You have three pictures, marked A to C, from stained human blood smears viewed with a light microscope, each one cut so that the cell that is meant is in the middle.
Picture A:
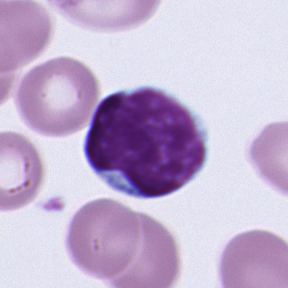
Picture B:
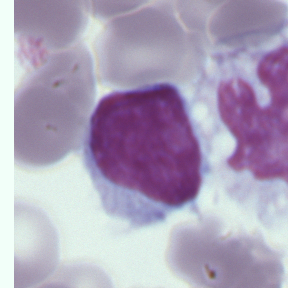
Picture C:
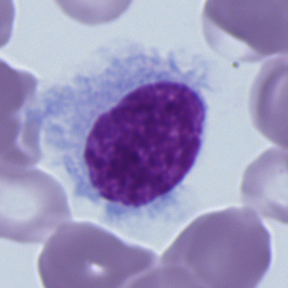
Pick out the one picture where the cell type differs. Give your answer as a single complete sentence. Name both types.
Unlike the rest, which show typical lymphocytes, picture C shows a hairy cell.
